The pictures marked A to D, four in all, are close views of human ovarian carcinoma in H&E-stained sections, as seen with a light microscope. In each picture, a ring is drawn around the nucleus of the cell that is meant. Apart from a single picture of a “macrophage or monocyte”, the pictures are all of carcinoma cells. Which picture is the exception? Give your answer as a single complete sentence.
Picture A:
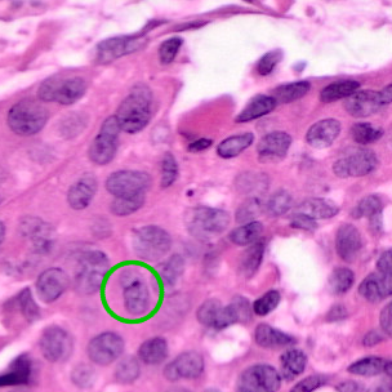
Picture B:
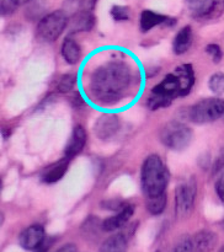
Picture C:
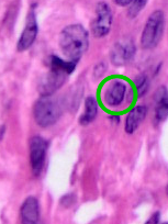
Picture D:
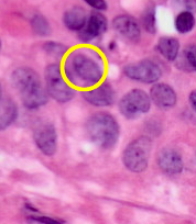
It is picture C that shows the “macrophage or monocyte”.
